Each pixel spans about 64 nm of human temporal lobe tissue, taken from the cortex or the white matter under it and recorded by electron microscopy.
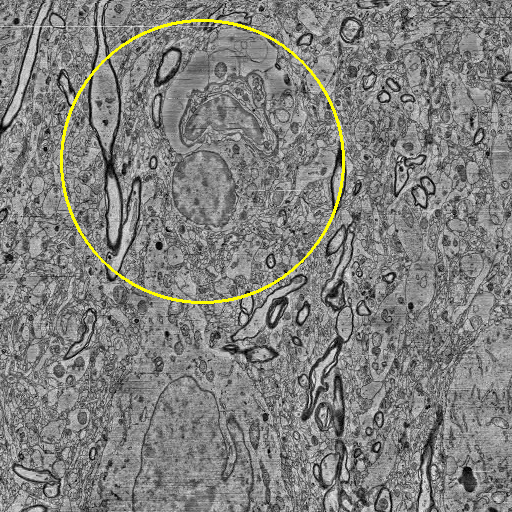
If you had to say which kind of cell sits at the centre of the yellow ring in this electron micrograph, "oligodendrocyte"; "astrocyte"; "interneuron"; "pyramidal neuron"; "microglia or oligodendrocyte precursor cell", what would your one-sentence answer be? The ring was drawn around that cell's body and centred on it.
The cell sitting at the centre of the ring is an oligodendrocyte.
